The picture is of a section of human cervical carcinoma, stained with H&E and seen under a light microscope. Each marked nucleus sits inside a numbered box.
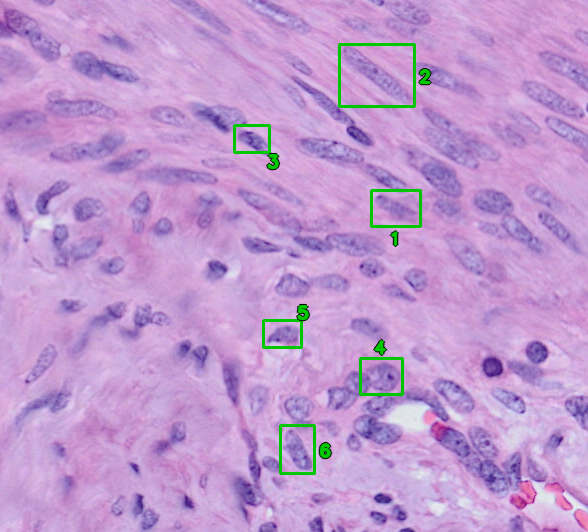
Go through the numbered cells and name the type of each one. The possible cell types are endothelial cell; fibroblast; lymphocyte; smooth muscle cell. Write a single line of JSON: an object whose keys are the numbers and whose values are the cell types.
{"1": "smooth muscle cell", "2": "smooth muscle cell", "3": "lymphocyte", "4": "endothelial cell", "5": "fibroblast", "6": "smooth muscle cell"}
